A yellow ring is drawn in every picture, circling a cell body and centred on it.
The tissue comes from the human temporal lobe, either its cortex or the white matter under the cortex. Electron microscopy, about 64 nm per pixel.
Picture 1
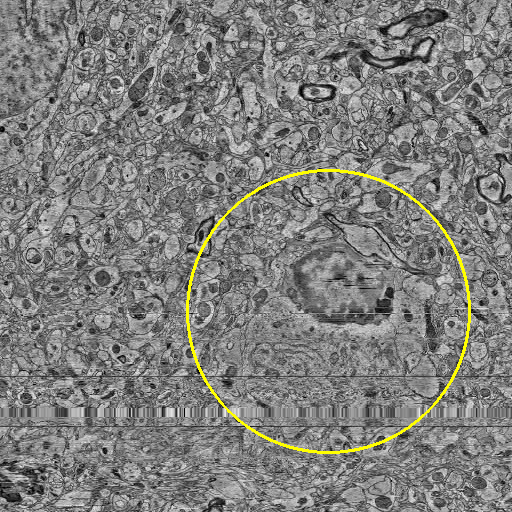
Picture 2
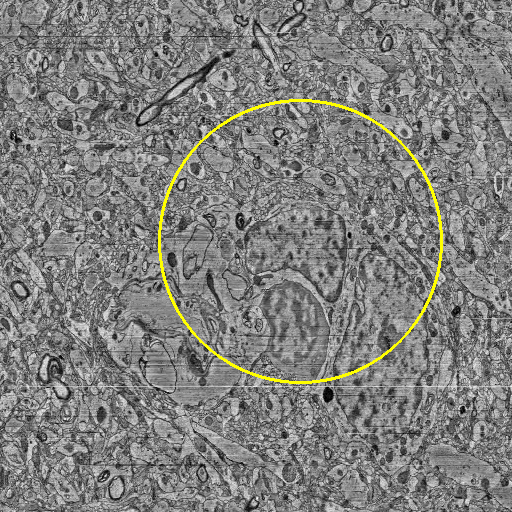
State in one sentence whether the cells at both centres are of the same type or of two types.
The cells at the two ring centres, one per picture, are of two types.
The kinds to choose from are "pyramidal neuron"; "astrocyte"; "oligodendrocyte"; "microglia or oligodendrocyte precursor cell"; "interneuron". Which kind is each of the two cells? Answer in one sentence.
Of the two, the first cell is an oligodendrocyte and the second cell is a microglial cell or oligodendrocyte precursor cell.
